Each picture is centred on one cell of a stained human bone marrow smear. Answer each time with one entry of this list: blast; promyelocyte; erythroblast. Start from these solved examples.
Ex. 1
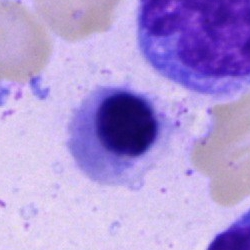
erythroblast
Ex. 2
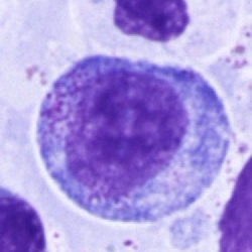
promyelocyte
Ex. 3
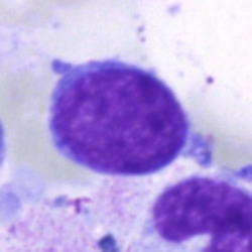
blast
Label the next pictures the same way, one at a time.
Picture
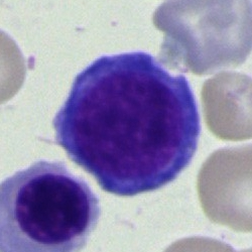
erythroblast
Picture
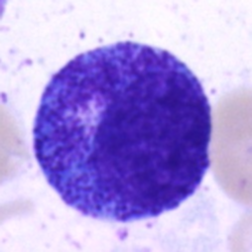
promyelocyte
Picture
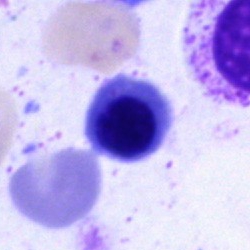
erythroblast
